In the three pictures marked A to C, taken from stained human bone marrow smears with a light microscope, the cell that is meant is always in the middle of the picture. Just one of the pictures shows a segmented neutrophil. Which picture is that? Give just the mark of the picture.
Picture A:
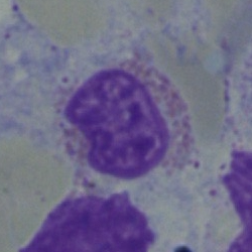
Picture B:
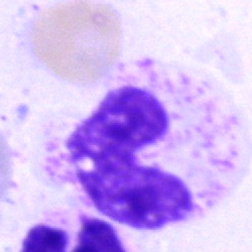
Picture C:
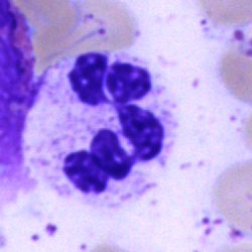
C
